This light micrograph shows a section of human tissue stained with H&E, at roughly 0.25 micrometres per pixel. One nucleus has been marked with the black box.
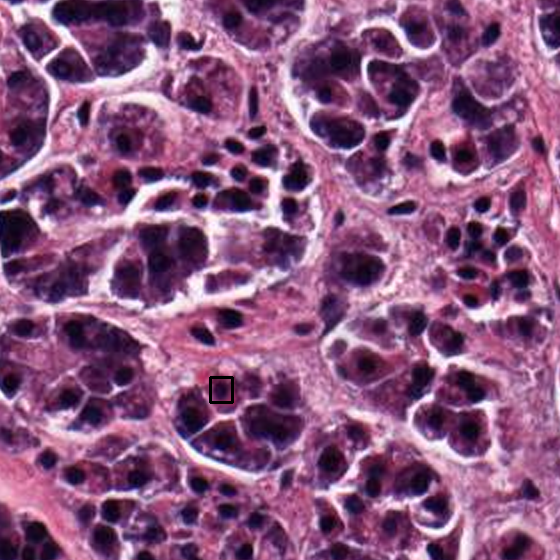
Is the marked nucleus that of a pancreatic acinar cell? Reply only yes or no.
yes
